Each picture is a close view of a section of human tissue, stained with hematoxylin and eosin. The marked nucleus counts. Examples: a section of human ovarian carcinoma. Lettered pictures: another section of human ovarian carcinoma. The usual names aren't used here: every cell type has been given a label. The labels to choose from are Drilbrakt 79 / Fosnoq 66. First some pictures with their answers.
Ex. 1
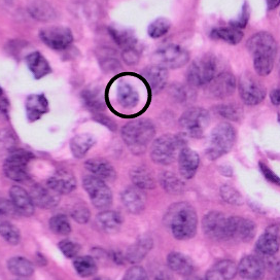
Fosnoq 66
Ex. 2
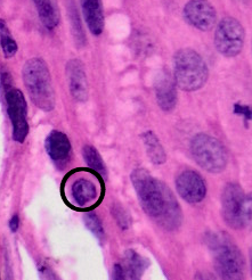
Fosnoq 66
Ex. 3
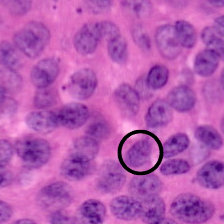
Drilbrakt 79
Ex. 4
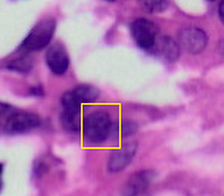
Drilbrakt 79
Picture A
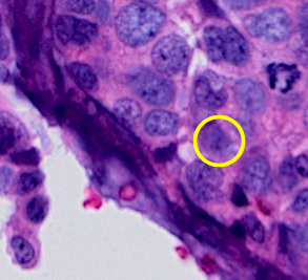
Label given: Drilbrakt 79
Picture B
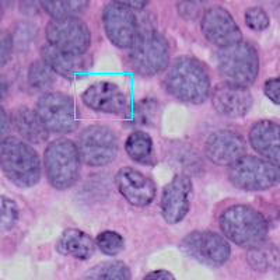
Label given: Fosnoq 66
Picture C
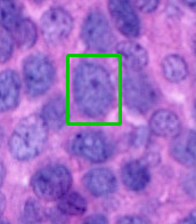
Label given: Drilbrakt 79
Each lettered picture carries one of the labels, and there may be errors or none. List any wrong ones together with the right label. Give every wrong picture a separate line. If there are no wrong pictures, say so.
No label is wrong.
